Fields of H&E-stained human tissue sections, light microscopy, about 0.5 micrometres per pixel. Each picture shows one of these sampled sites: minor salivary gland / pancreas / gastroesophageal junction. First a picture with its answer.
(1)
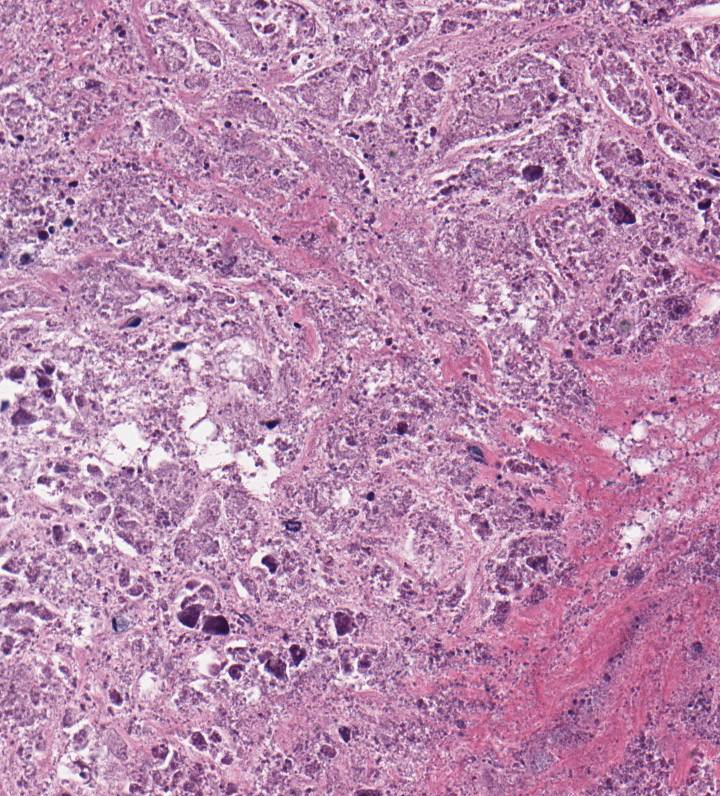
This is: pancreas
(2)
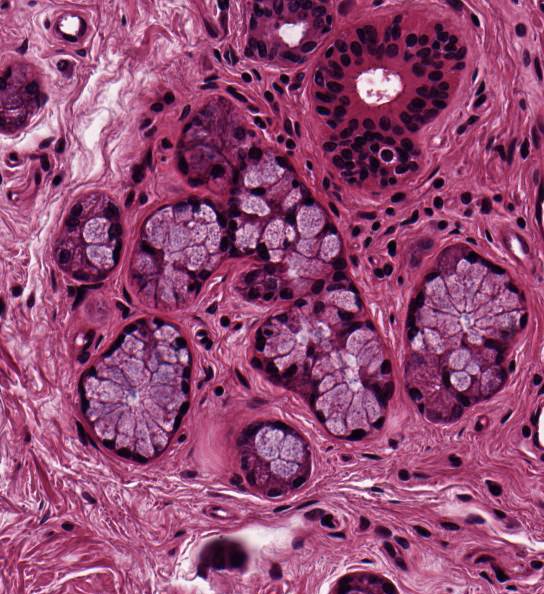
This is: minor salivary gland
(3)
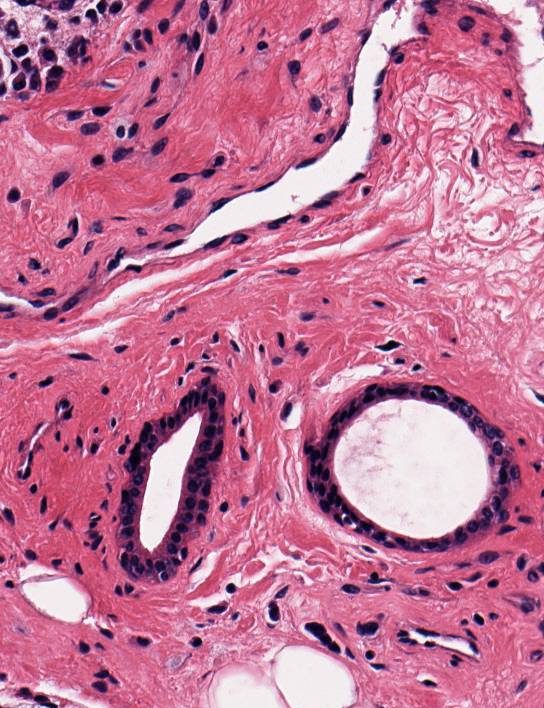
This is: minor salivary gland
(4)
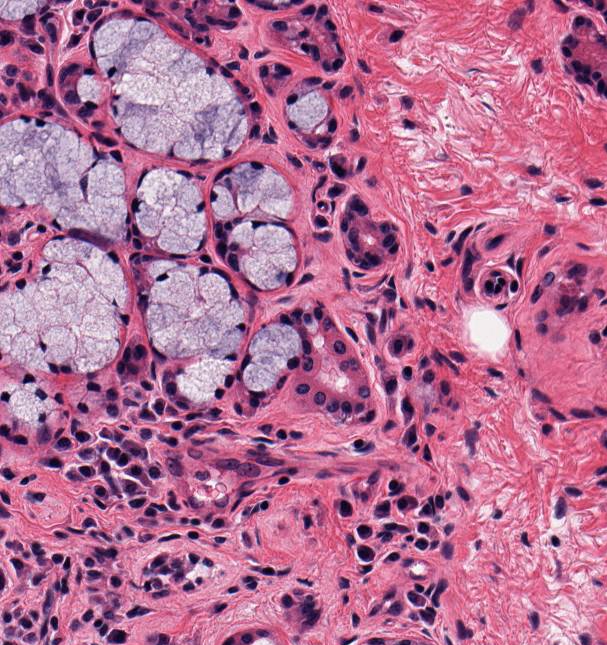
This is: minor salivary gland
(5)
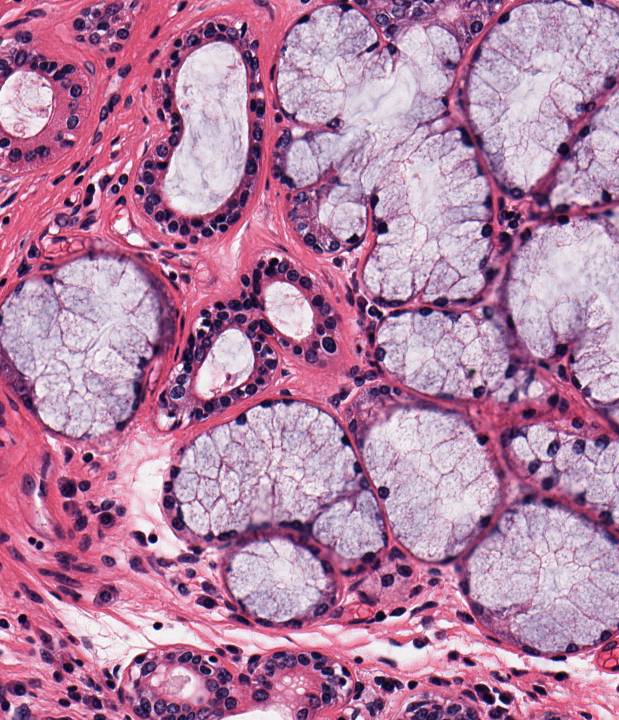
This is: minor salivary gland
